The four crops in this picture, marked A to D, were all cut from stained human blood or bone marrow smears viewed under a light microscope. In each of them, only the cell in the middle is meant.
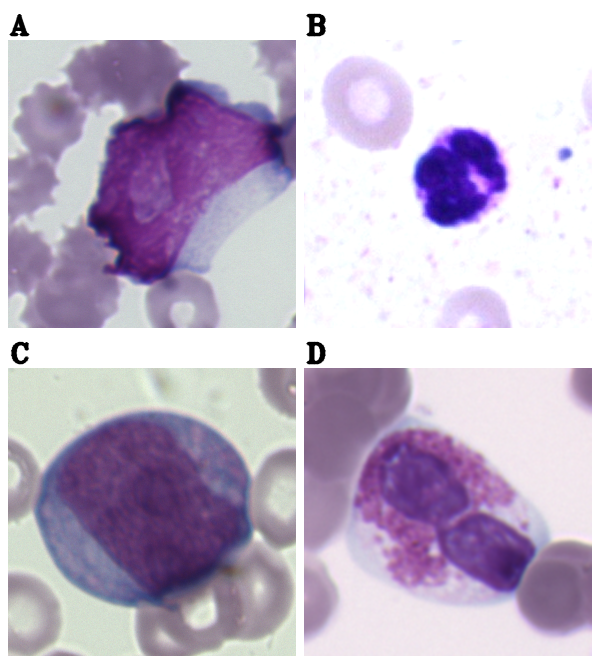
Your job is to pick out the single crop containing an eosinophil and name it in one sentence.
Crop D represents an eosinophil, while the other crops do not.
